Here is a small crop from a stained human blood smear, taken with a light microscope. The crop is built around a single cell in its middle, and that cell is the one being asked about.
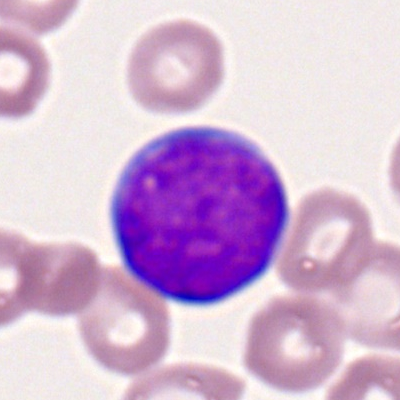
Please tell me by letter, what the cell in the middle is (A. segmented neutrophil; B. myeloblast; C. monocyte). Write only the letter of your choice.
B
